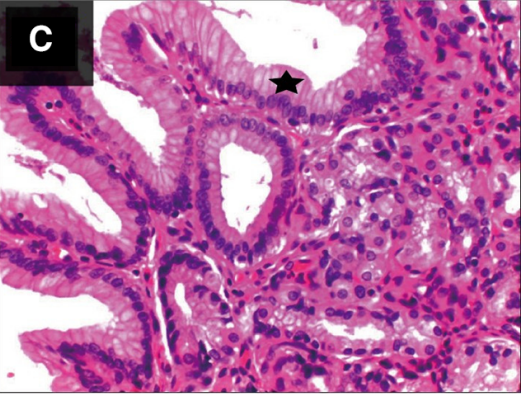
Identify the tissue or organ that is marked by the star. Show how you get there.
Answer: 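The star lies on a lining of tall columnar cells with pale, clear apical cytoplasm. The nuclei of these lining cells are small, dark and set toward the base. The lining forms pits and glands with open lumens separated by cellular stroma. That points to this answer: gastric mucosa.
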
